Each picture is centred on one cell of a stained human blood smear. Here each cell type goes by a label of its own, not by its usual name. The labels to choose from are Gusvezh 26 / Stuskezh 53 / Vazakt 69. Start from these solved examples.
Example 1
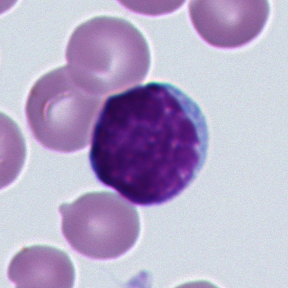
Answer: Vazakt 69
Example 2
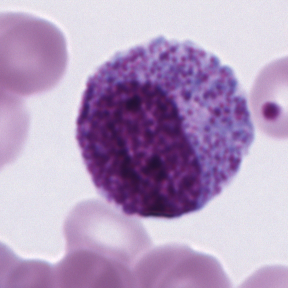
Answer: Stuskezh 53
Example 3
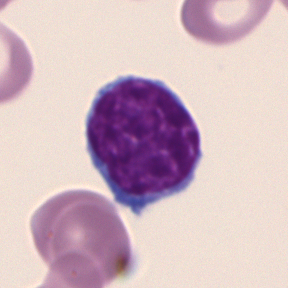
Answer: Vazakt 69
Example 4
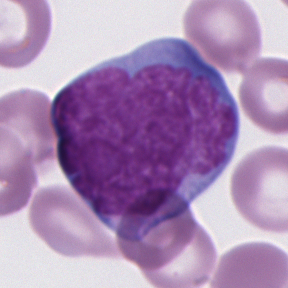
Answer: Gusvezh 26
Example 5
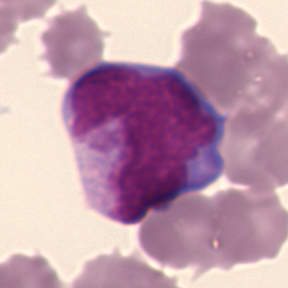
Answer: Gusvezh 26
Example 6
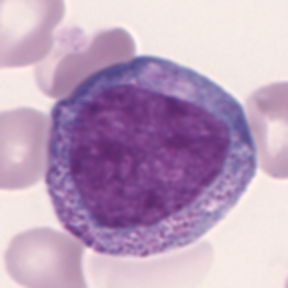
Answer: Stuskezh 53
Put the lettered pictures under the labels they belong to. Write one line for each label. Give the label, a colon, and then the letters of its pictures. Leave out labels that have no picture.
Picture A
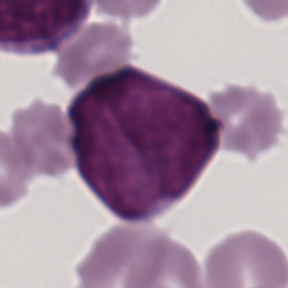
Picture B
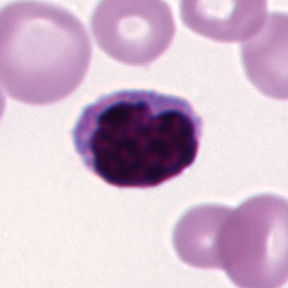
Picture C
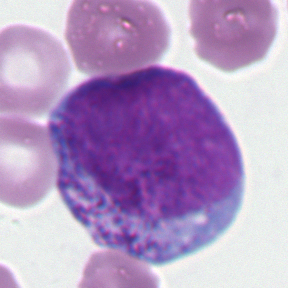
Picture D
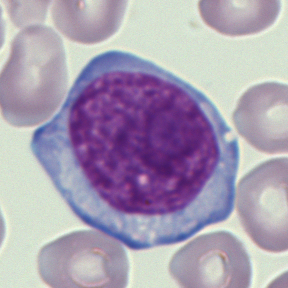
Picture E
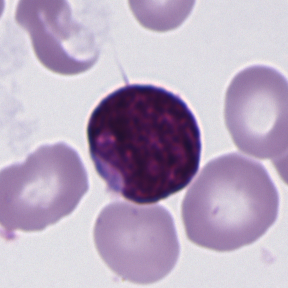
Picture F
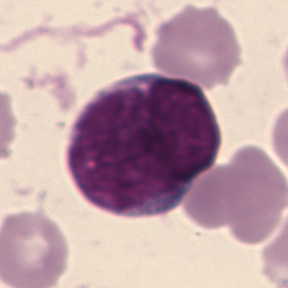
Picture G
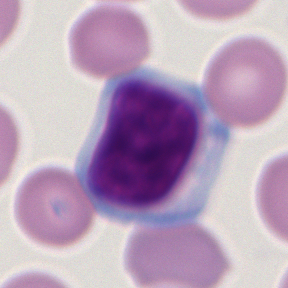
Gusvezh 26: A, D, E, F
Stuskezh 53: C
Vazakt 69: B, G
